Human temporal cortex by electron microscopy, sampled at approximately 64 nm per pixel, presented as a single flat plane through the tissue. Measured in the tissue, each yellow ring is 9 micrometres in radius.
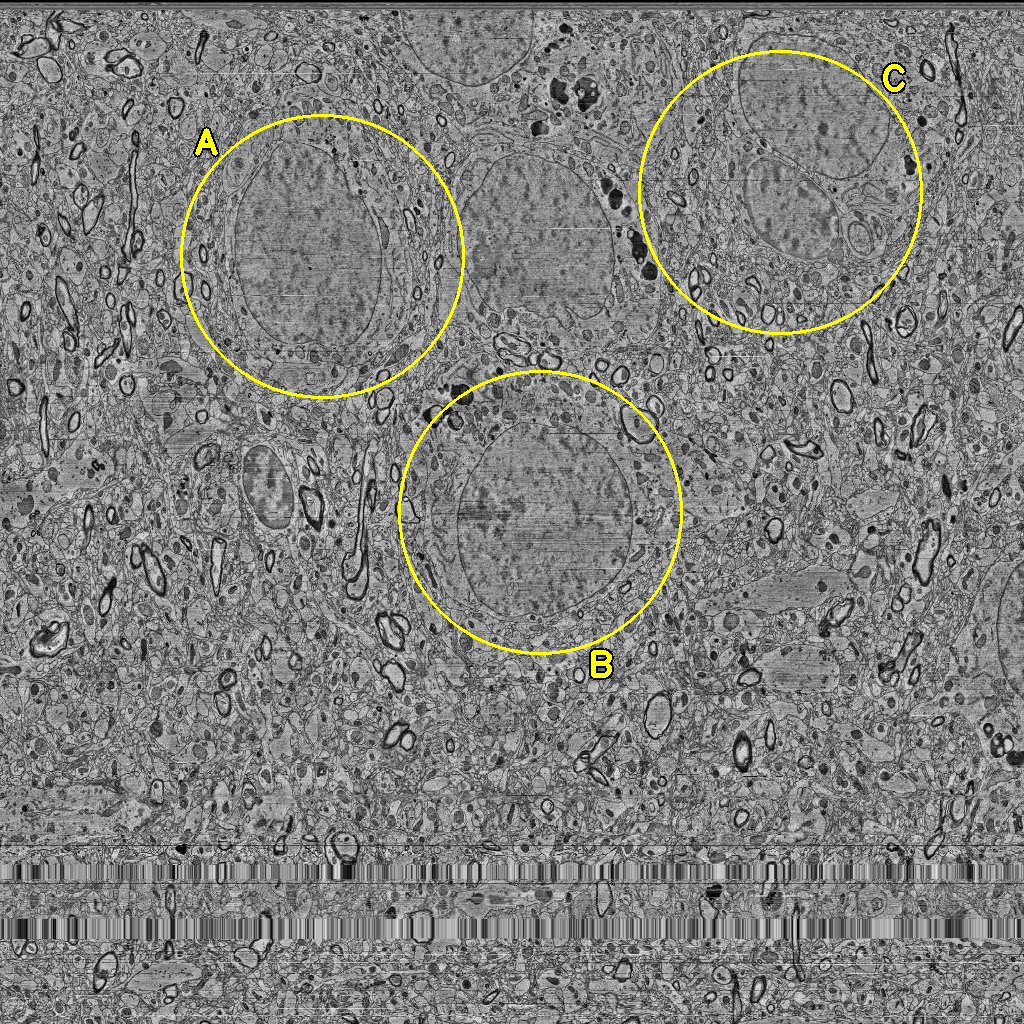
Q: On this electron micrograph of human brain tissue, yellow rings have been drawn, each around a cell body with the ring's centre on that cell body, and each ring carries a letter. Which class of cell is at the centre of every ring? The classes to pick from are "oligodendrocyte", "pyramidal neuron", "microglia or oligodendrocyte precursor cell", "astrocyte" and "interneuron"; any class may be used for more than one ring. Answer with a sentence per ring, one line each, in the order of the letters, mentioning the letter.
The centre of ring A is occupied by a pyramidal neuron.
The centre of ring B is occupied by a pyramidal neuron.
The centre of ring C is occupied by an oligodendrocyte.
